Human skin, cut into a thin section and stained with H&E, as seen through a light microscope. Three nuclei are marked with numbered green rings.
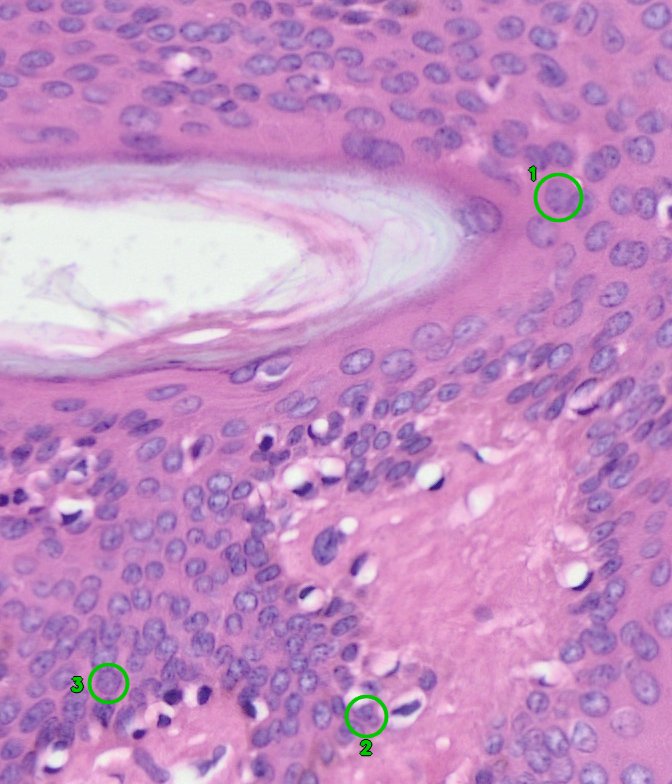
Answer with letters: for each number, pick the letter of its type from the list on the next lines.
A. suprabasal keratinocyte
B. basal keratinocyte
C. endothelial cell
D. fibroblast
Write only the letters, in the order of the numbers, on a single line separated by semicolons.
A; B; B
